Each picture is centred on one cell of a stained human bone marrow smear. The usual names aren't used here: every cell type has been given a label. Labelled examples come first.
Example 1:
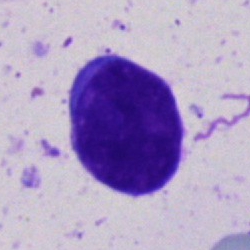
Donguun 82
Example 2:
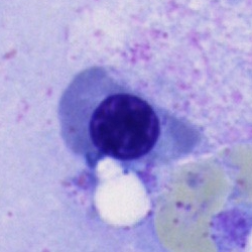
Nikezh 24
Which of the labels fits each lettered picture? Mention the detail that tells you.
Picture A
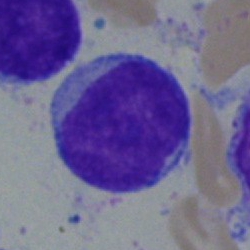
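Answer: Donguun 82. The chromatin stains deep purple and looks finely stippled rather than coarsely clumped.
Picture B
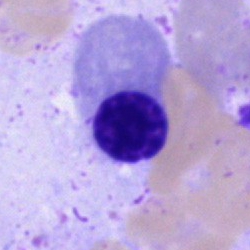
Answer: Nikezh 24. The chromatin is dark purple and coarsely clumped.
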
